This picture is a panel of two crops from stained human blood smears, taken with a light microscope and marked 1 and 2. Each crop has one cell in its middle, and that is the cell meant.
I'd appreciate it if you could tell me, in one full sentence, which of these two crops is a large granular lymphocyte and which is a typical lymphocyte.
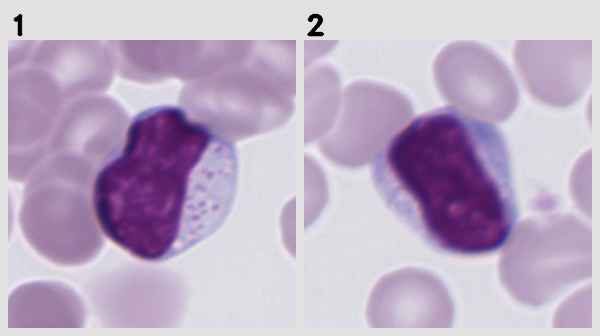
Represented in crop 1 is a large granular lymphocyte; represented in crop 2 is a typical lymphocyte.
